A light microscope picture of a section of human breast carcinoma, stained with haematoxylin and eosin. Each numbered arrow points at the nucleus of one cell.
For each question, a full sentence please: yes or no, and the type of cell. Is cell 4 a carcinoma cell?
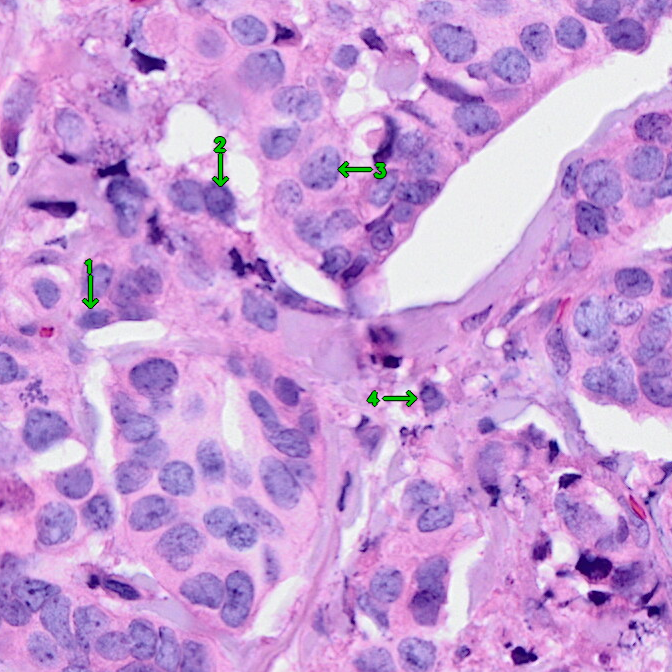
No, cell 4 is a macrophage, monocyte or dendritic cell; it is not a carcinoma cell.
